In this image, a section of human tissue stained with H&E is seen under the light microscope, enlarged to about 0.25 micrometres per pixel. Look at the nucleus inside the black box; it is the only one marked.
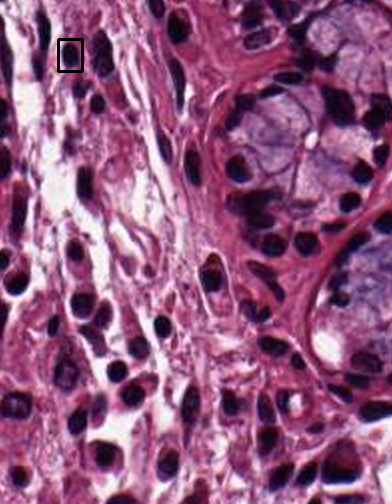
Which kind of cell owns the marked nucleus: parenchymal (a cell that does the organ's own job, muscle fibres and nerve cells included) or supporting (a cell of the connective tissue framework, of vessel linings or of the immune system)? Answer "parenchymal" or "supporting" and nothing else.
supporting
